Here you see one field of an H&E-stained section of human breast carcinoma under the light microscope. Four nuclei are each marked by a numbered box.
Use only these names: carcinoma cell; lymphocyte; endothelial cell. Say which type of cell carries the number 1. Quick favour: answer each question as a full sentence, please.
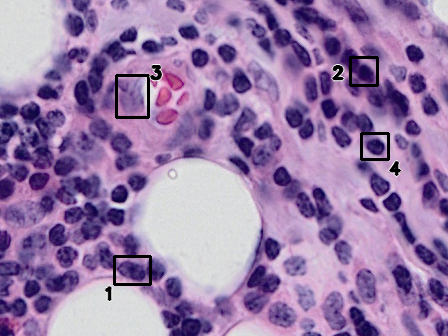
The correct answer for cell 1 is a lymphocyte.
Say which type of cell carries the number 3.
The cell bearing label 3 corresponds to an endothelial cell.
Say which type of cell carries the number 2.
Recognised here as a lymphocyte is the cell numbered 2.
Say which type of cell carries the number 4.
The cell identified by number 4 is a lymphocyte.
